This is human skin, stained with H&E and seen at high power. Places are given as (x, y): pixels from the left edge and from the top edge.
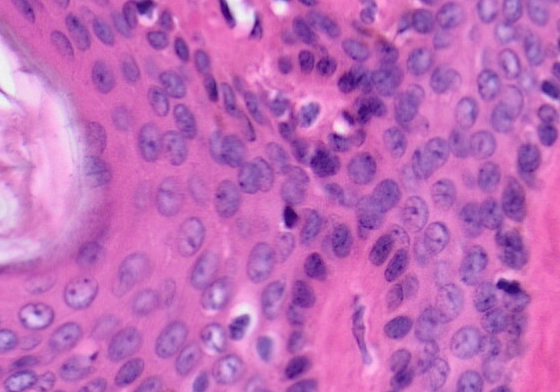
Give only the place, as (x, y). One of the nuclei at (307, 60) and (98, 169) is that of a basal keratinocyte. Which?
(307, 60)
